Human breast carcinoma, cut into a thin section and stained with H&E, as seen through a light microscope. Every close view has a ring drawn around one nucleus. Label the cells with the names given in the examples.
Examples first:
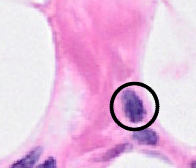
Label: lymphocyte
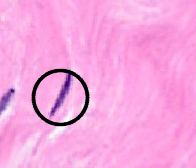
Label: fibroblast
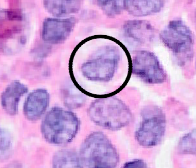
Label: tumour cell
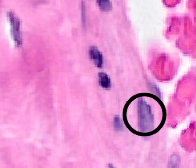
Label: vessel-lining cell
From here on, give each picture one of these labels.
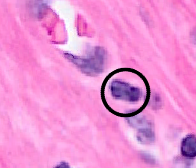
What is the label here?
lymphocyte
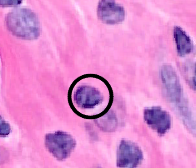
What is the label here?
lymphocyte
